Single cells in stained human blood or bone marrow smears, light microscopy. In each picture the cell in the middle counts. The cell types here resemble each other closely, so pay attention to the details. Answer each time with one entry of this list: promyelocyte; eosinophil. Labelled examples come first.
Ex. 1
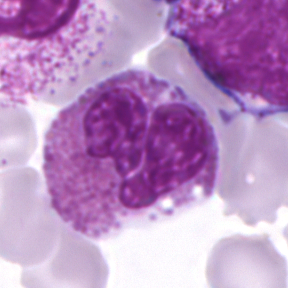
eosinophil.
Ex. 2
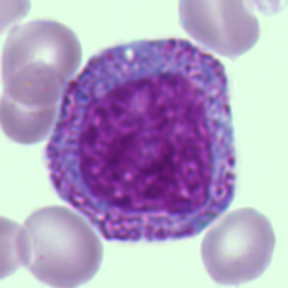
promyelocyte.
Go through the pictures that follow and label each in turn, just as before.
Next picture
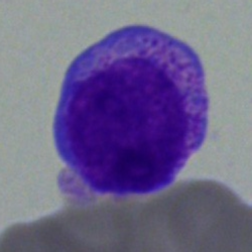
promyelocyte.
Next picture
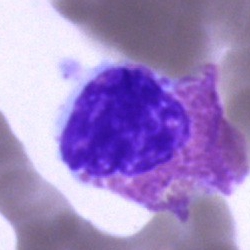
eosinophil.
